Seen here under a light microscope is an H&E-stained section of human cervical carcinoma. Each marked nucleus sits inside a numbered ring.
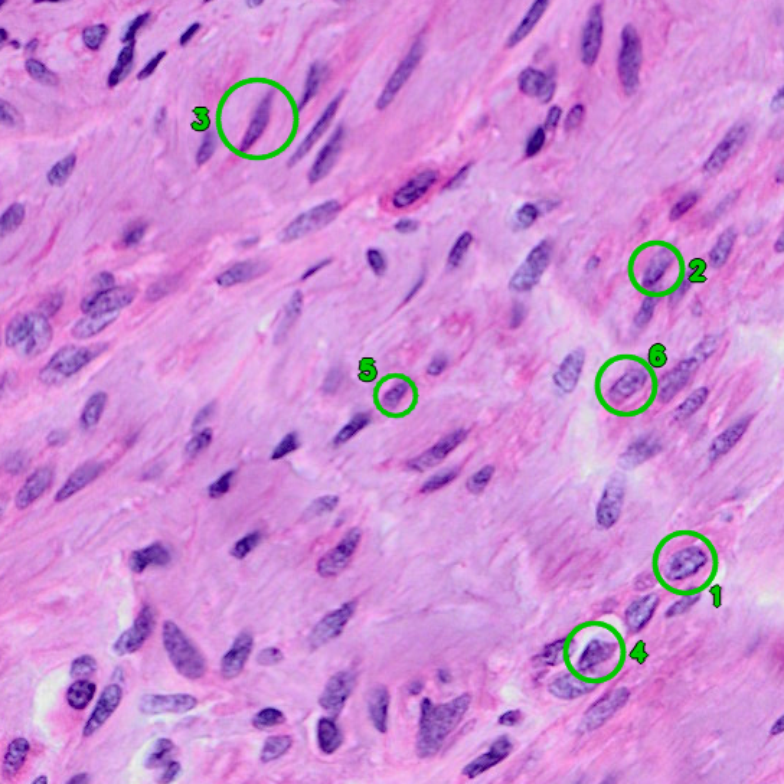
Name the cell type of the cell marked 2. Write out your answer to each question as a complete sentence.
Cell 2 should be recorded as a smooth muscle cell.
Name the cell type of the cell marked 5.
At number 5, the marked cell is a smooth muscle cell.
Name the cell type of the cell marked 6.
The cell marked with the number 6 is a smooth muscle cell.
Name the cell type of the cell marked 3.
Among the marked cells, number 3 is a smooth muscle cell.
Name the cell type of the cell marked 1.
Cell 1, as marked in the section, is an endothelial cell.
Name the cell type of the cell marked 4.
The nucleus labeled 4 belongs to an endothelial cell.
